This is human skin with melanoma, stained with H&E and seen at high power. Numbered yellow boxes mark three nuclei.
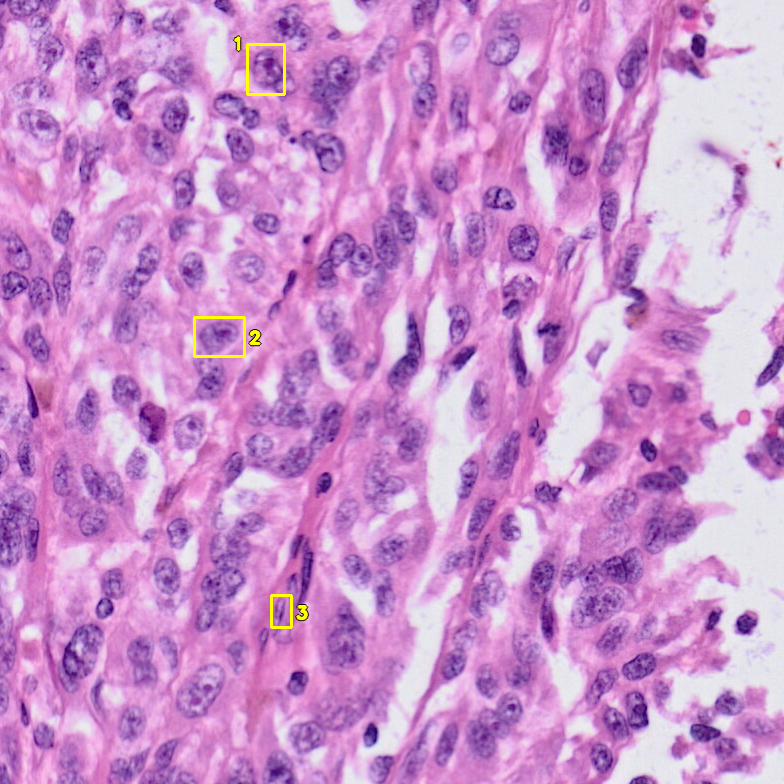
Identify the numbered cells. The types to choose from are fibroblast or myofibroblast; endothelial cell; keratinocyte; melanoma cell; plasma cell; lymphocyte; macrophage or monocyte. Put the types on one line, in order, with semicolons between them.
melanoma cell; melanoma cell; endothelial cell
